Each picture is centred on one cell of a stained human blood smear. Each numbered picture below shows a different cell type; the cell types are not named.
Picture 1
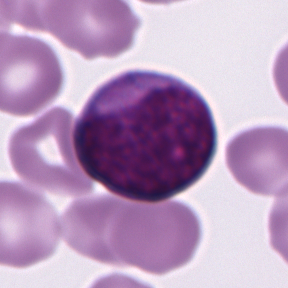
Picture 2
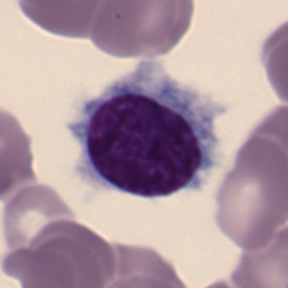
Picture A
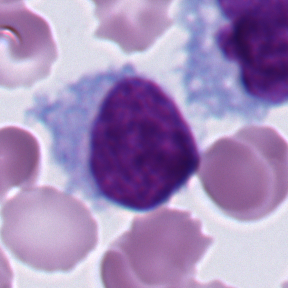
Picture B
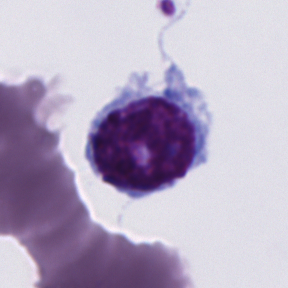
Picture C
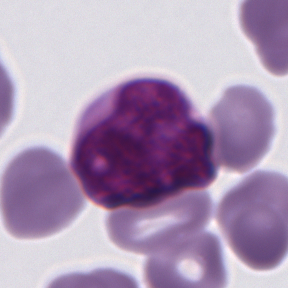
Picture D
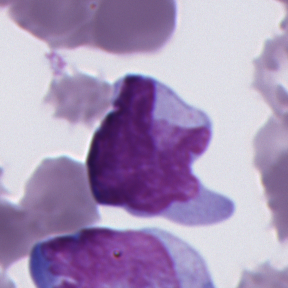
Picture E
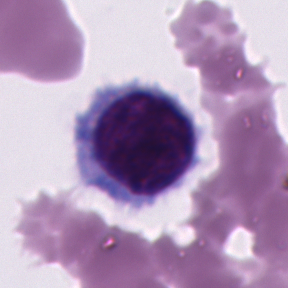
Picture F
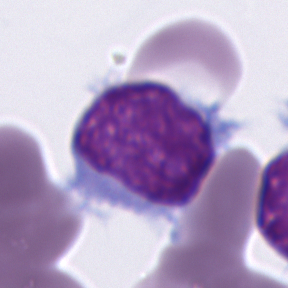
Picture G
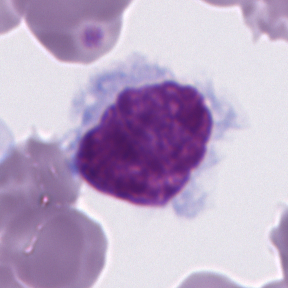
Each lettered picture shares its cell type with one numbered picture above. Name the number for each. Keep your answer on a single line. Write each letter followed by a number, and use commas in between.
A 2, B 2, C 1, D 1, E 2, F 2, G 2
